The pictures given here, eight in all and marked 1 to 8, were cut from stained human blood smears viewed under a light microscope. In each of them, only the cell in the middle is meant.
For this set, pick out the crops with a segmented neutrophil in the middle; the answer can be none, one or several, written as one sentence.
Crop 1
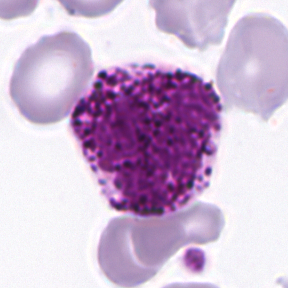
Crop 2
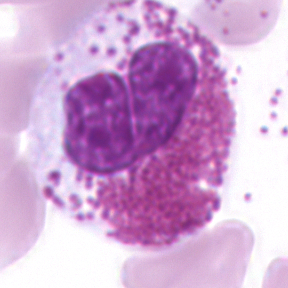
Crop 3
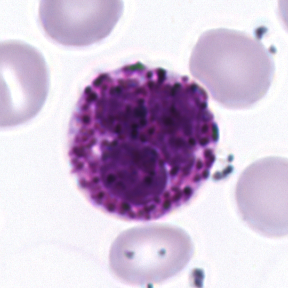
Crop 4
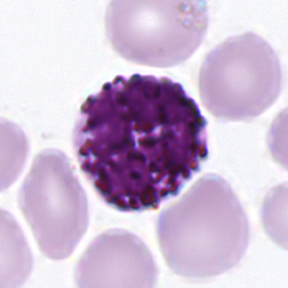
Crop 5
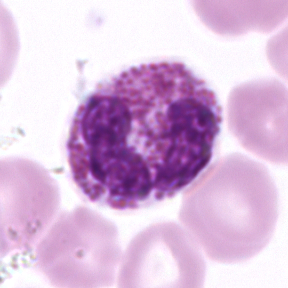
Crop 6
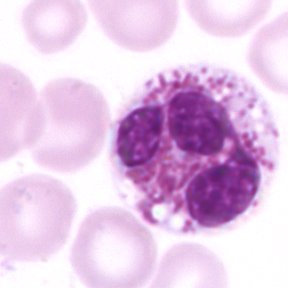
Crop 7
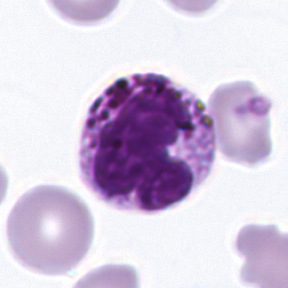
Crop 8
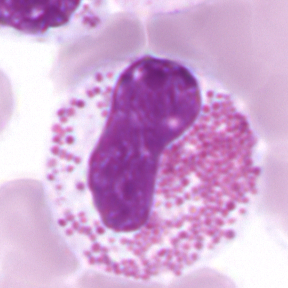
The count of crops showing a segmented neutrophil is zero.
